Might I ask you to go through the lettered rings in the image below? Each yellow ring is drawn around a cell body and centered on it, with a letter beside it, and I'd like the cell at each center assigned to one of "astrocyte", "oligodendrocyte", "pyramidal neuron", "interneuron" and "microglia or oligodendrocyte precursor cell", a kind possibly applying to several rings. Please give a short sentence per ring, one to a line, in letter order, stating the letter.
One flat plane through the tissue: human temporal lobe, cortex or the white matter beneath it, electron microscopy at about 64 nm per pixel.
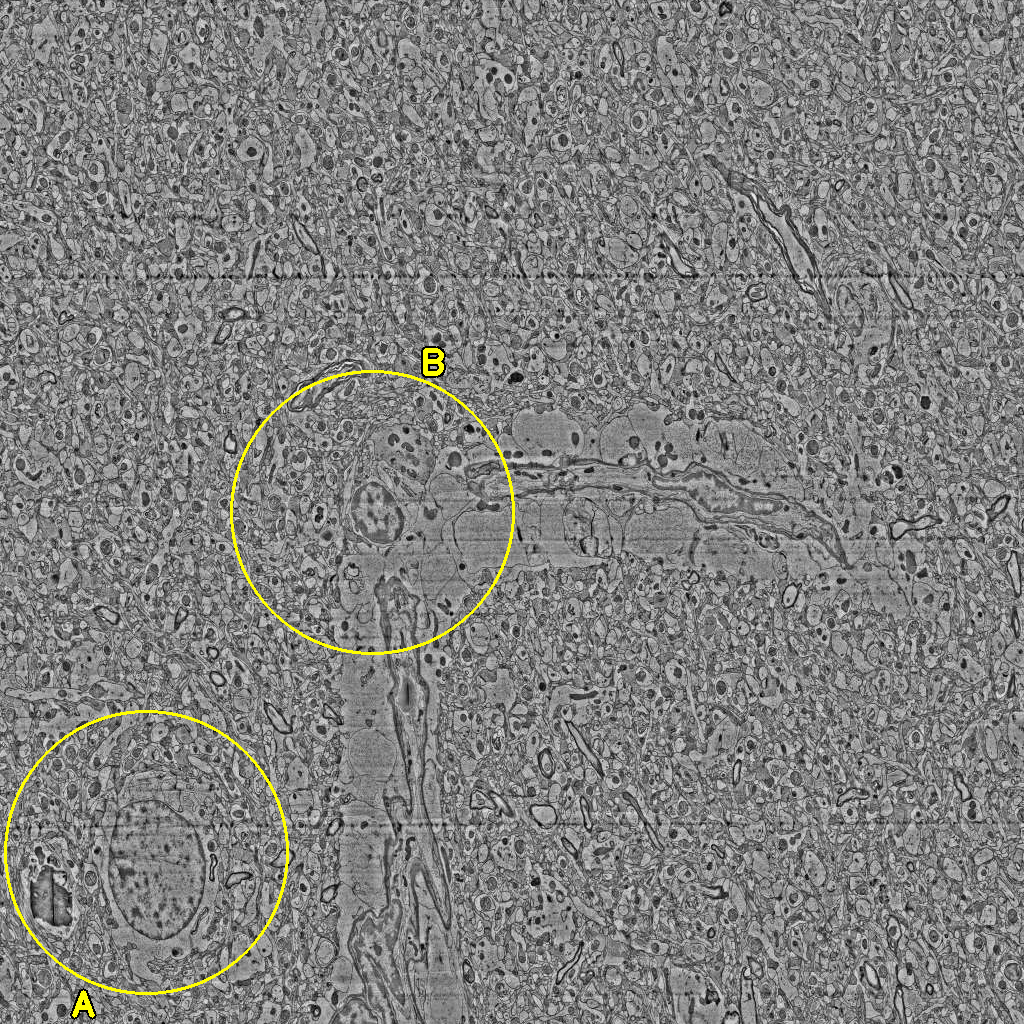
Ring A is centered on the body of an astrocyte.
Ring B is centered on the body of a microglial cell or oligodendrocyte precursor cell.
